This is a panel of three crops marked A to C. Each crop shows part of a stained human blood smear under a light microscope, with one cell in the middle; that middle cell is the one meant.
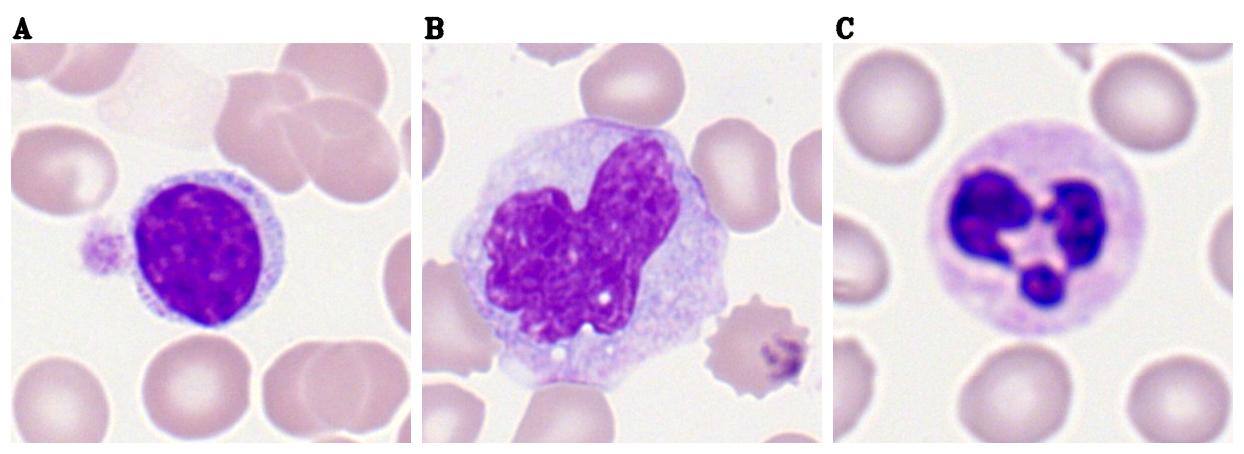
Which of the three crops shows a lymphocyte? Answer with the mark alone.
A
